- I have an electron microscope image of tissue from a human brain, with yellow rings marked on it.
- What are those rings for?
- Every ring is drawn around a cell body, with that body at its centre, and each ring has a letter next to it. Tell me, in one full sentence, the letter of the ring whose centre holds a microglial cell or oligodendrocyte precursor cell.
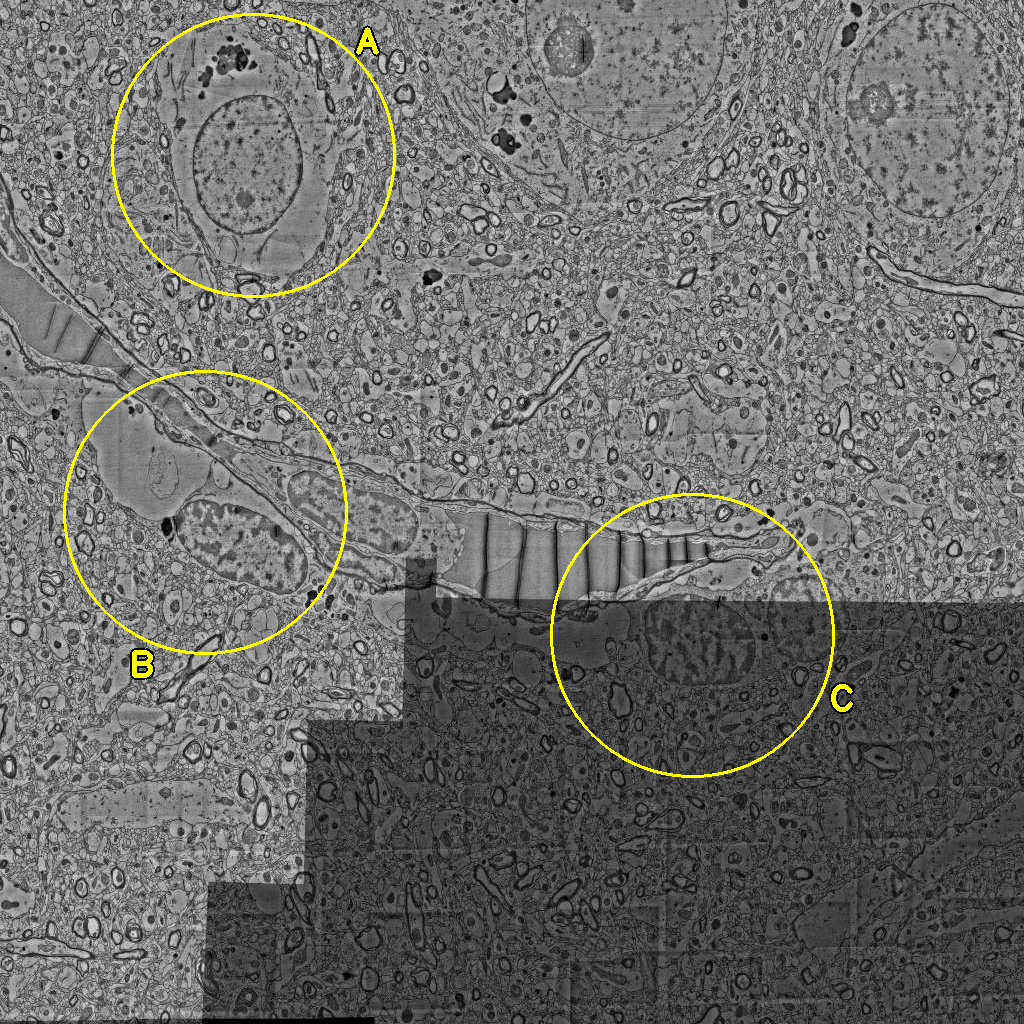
In the picture, the cell asked for sits at the centre of ring B.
